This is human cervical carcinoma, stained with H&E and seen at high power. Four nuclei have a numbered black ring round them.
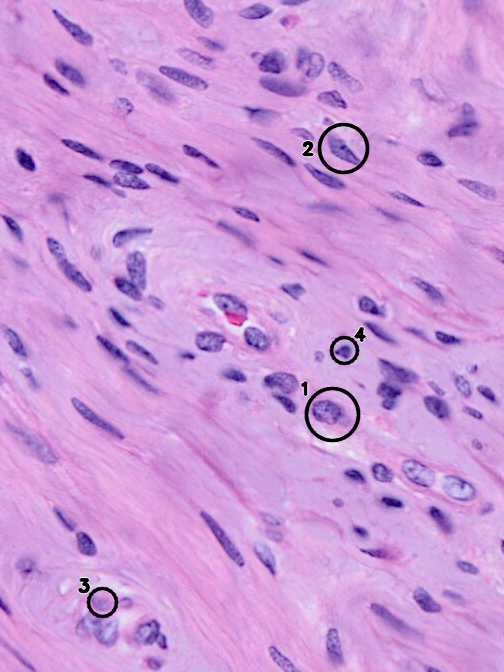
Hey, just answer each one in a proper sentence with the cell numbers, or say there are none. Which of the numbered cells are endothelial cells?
Cells that were given the numbers 1 and 3 are endothelial cells.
